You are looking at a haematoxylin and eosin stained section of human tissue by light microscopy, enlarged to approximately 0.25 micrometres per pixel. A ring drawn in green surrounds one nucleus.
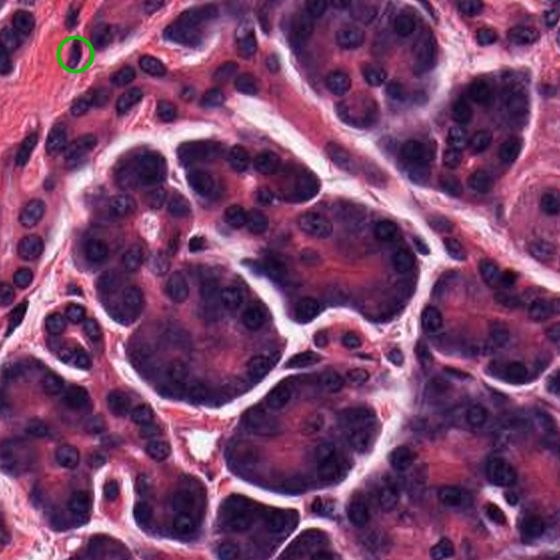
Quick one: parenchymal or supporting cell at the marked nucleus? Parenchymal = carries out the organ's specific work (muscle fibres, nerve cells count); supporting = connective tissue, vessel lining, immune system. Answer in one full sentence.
The cell that the marked nucleus belongs to is a supporting cell.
